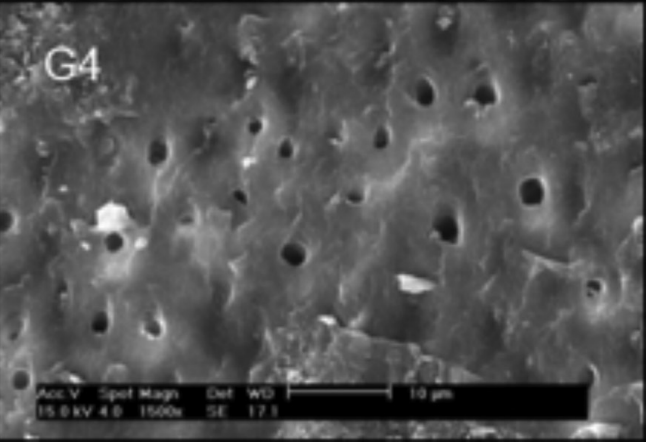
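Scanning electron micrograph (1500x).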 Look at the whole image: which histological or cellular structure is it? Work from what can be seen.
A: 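Visible tubule openings. Scattered round dark holes open on a fairly smooth surface. Little debris lies on the surface.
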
